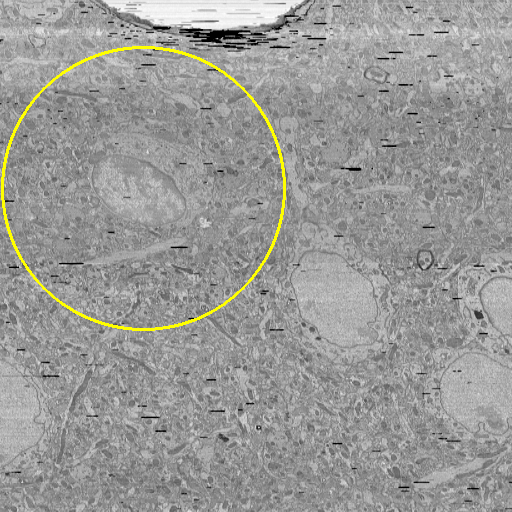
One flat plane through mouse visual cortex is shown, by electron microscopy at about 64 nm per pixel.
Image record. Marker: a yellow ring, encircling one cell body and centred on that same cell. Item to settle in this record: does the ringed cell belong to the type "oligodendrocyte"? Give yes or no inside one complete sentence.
Yes, in the picture, the cell centred within the yellow ring is of the stated type.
